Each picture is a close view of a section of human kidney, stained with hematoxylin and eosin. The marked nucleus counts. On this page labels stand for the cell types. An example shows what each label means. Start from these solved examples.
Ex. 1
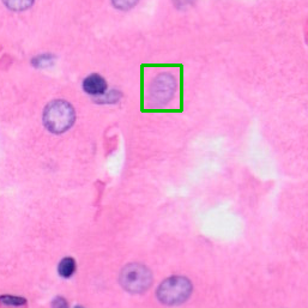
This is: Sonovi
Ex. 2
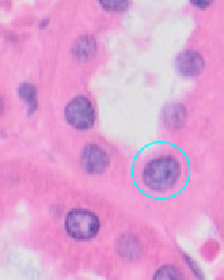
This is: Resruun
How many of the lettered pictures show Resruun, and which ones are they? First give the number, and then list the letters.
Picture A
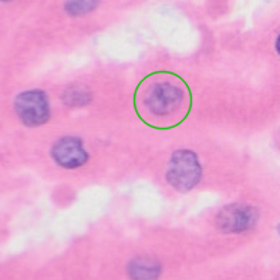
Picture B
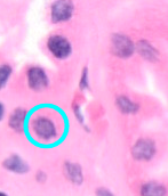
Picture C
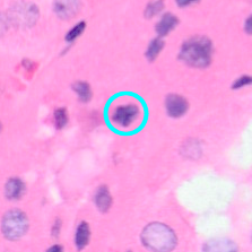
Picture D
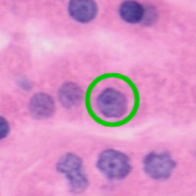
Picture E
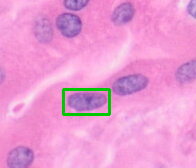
2: B, C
